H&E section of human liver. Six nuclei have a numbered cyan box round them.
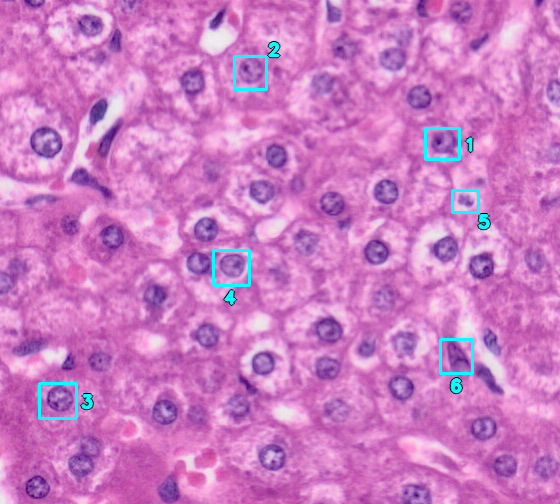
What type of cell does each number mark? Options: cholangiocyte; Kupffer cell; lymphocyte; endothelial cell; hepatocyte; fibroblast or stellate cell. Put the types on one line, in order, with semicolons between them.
hepatocyte; hepatocyte; hepatocyte; hepatocyte; lymphocyte; Kupffer cell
